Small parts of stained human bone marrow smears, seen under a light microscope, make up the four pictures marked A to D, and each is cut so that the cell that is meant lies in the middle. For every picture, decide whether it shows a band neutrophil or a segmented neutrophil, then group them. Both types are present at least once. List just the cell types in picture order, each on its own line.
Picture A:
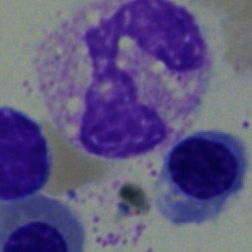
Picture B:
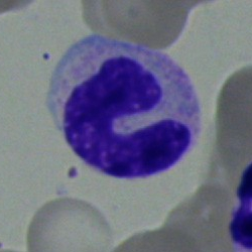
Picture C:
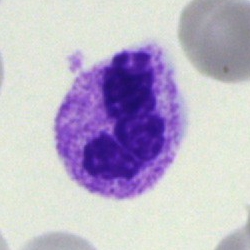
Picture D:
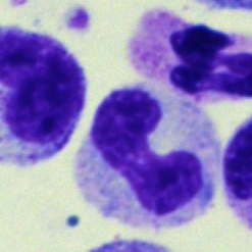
segmented neutrophil
band neutrophil
segmented neutrophil
band neutrophil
